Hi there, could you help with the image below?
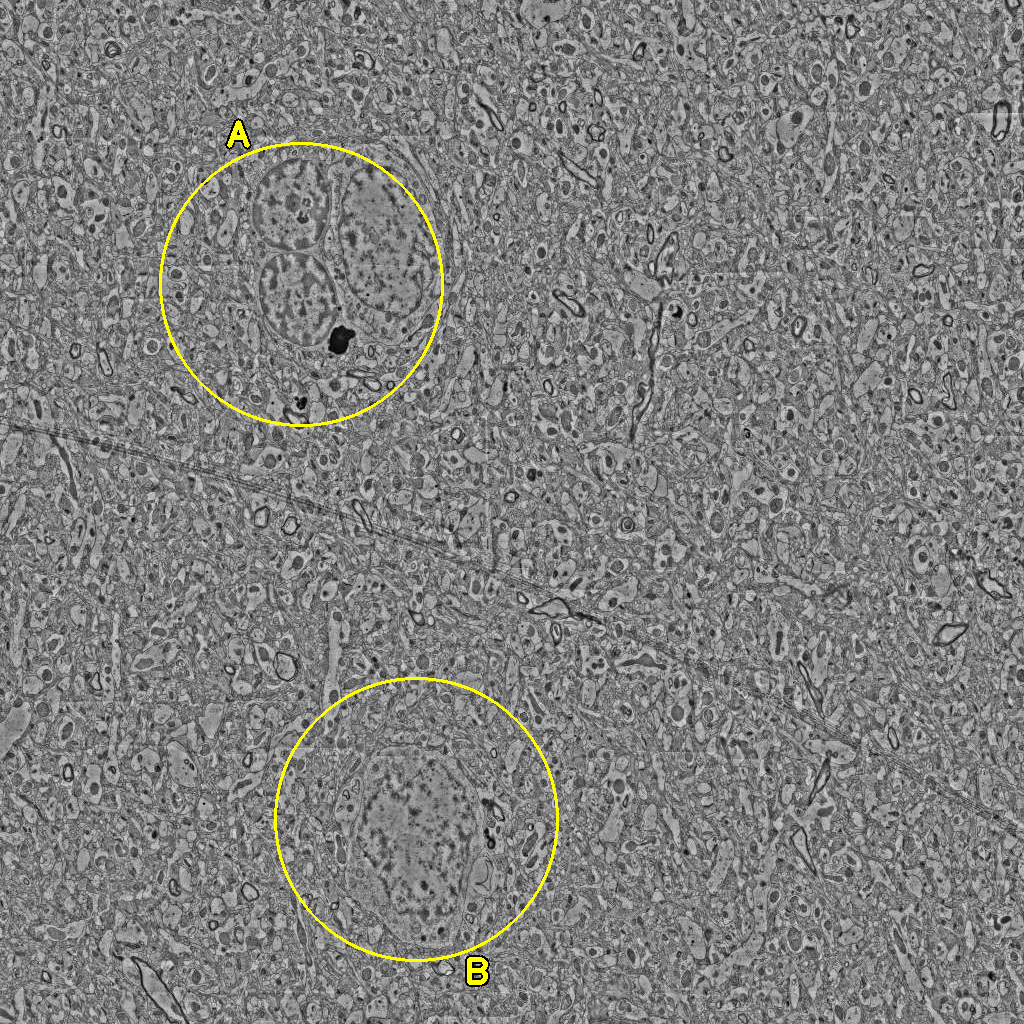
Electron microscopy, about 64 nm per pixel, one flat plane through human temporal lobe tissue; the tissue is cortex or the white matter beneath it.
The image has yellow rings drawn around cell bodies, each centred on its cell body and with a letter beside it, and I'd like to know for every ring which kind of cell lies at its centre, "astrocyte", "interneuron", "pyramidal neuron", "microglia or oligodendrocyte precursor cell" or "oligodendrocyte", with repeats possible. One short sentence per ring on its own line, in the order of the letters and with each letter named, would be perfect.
Ring A is placed around an oligodendrocyte.
Ring B is placed around an interneuron.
